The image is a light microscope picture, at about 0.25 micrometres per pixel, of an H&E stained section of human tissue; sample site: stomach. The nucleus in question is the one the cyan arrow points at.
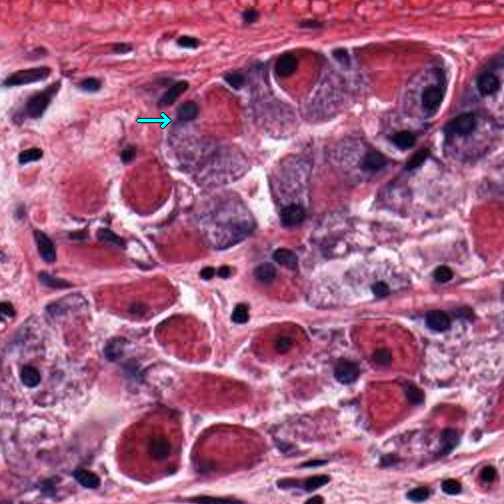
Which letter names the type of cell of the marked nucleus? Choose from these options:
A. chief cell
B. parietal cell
A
